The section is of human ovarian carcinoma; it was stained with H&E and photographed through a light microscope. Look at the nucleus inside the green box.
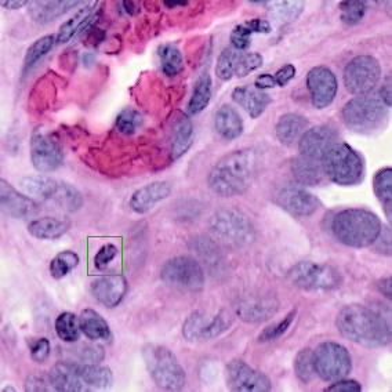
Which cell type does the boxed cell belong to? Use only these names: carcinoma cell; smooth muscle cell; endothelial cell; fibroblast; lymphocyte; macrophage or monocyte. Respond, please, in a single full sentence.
As classified here, the boxed cell is a lymphocyte.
